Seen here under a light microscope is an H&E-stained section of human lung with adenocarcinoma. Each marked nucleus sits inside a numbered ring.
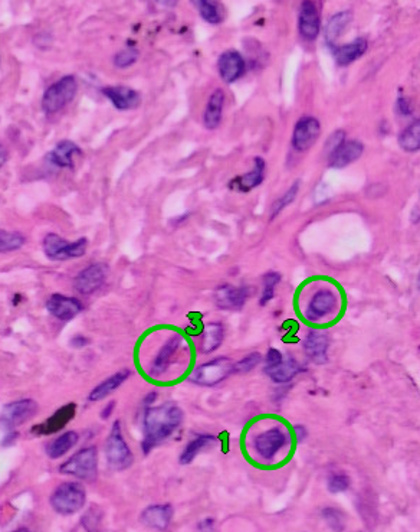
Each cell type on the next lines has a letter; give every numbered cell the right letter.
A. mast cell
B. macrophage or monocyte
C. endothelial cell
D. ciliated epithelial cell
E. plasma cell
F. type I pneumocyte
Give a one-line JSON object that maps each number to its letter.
{"1": "E", "2": "A", "3": "C"}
